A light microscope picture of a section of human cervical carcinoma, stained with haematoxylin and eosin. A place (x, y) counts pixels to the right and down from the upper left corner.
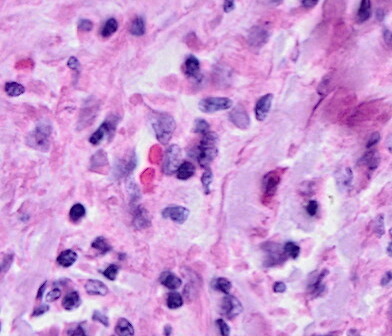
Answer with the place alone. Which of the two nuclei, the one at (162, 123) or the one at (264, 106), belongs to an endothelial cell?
(162, 123)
